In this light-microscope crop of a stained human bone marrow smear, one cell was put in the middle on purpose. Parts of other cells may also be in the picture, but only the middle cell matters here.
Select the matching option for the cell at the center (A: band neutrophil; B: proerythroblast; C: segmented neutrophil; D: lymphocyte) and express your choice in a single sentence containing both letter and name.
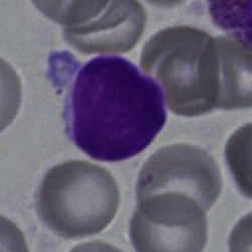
The cell in the middle is a lymphocyte, and that makes option D correct.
